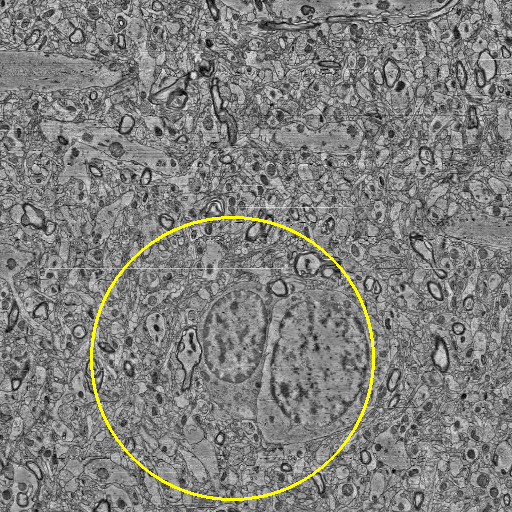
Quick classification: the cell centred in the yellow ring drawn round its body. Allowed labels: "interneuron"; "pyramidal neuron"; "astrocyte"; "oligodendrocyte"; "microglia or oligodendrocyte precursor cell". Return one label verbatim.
oligodendrocyte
